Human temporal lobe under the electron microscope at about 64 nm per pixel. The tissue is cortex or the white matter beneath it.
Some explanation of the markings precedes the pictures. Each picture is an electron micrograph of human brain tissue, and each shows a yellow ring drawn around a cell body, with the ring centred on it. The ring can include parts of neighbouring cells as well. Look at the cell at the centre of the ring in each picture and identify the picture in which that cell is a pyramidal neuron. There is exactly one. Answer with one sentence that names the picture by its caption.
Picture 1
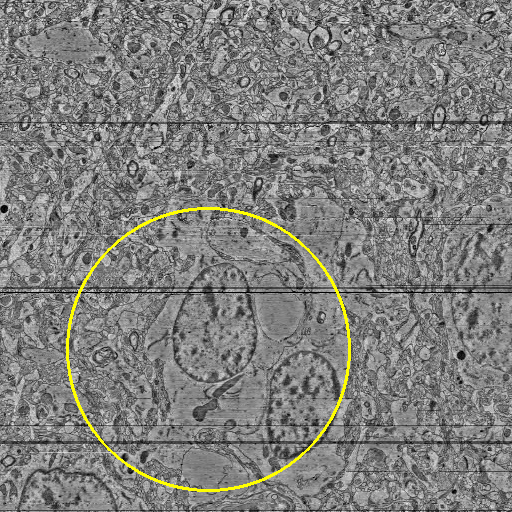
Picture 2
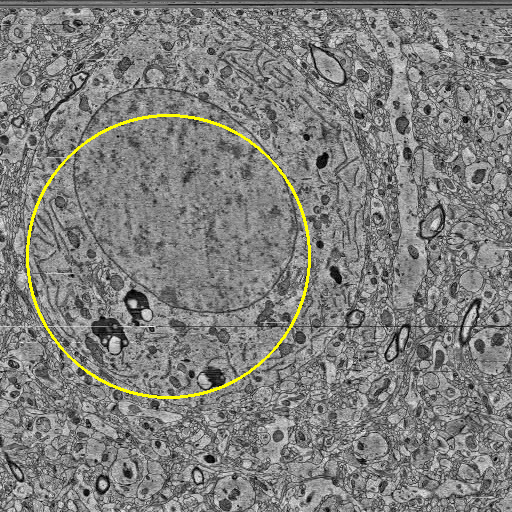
In Picture 2, the cell at the centre of the ring is of that kind.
